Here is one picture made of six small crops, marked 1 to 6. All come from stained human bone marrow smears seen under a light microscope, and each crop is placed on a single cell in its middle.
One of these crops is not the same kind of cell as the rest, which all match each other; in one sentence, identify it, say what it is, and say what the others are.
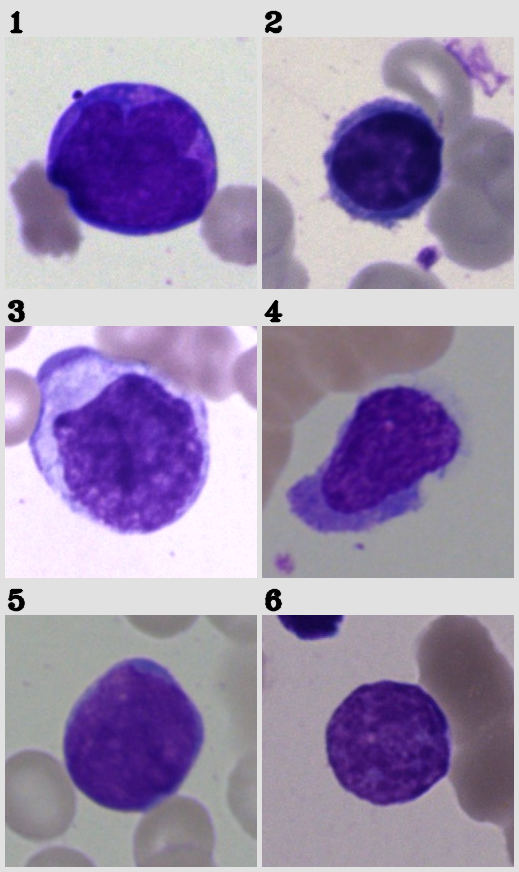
Excluding crop 2, which is a lymphocyte, the crops all show blasts.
